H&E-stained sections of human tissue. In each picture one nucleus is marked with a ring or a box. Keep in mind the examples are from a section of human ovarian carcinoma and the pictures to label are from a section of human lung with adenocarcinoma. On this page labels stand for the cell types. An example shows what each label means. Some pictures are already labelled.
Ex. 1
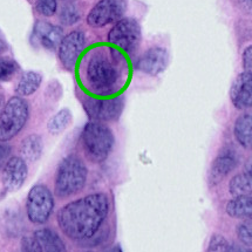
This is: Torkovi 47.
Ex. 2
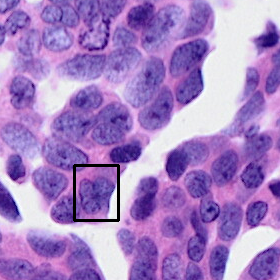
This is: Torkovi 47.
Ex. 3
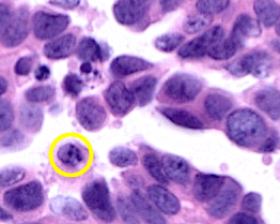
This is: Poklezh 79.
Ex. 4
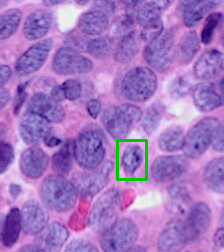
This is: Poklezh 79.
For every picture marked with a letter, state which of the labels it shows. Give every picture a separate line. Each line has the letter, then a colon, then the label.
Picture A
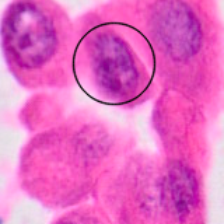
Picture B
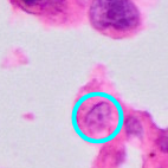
A: Torkovi 47.
B: Poklezh 79.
